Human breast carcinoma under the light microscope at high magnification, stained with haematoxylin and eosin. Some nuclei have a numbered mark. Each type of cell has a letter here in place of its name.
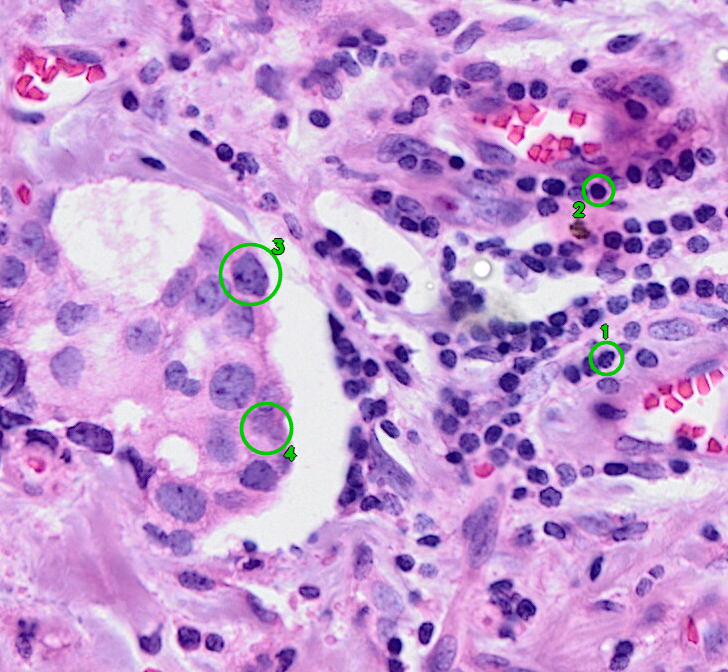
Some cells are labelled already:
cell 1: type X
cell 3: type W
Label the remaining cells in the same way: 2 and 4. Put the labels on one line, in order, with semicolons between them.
type X; type W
